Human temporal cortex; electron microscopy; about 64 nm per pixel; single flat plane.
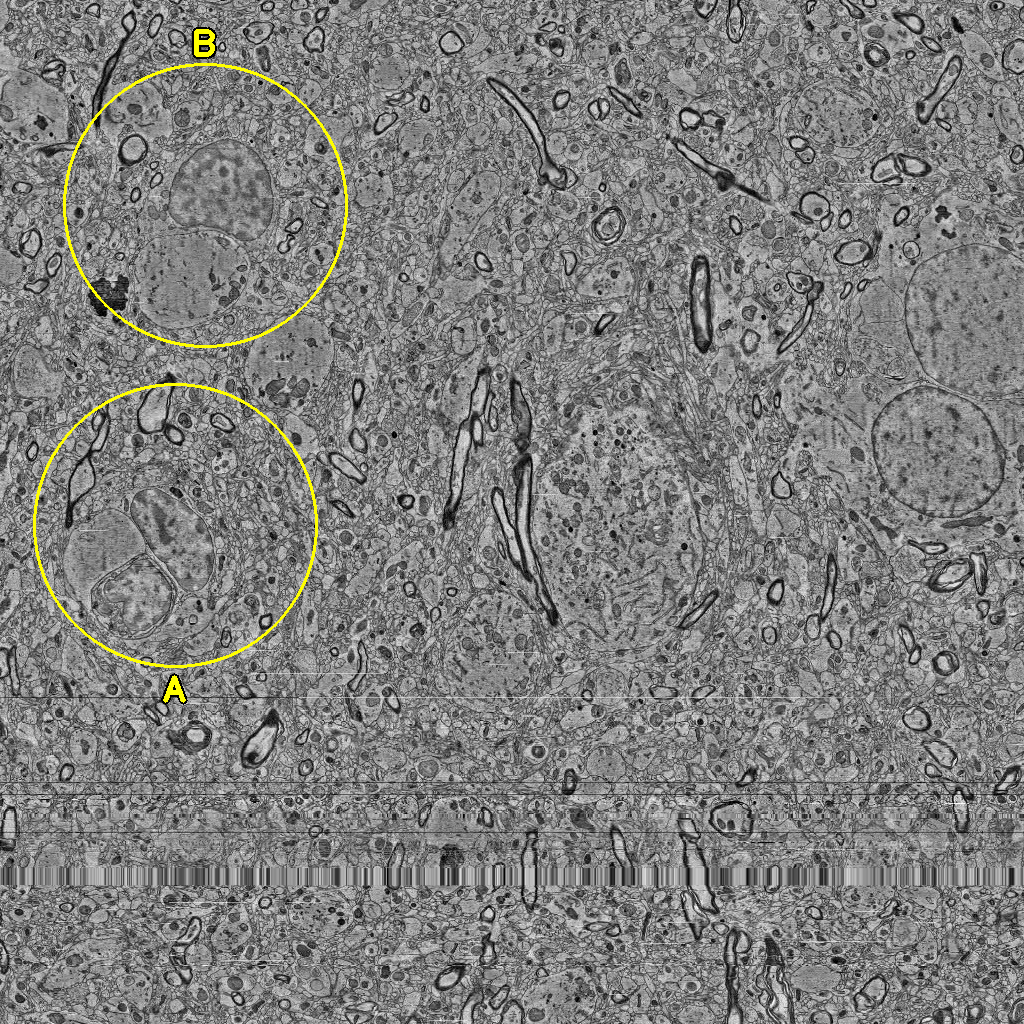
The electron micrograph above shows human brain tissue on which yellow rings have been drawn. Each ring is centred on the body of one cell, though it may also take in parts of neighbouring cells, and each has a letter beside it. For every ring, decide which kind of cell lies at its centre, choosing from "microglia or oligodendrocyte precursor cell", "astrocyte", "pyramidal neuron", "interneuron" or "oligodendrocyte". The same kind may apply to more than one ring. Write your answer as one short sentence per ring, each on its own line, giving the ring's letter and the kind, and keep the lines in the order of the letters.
Ring A is centred on a microglial cell or oligodendrocyte precursor cell.
Ring B is centred on an oligodendrocyte.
